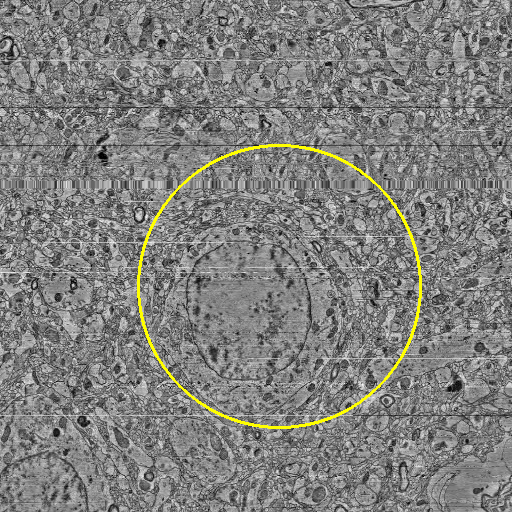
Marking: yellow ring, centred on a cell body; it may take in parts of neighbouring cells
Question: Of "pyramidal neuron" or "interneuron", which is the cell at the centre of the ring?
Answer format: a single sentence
The ring surrounds the body of a pyramidal neuron.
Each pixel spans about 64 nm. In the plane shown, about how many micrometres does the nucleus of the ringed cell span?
The nucleus is approximately 9 micrometers across in this plane.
